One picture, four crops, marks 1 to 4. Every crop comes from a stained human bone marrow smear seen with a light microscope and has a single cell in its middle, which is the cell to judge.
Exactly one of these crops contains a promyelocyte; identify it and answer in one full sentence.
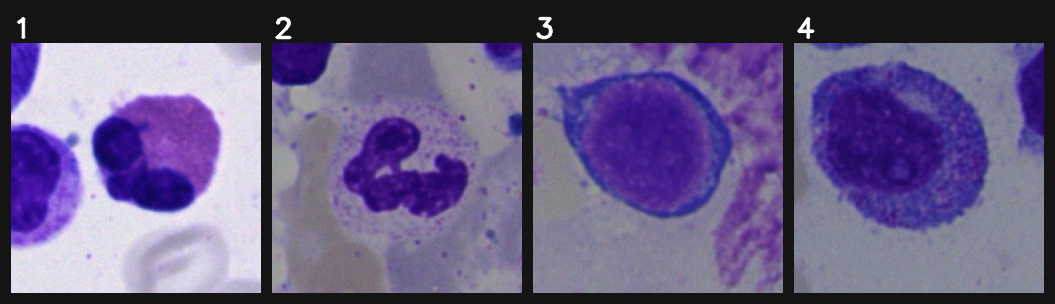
Among all the crops given here, the one with a promyelocyte is crop 4.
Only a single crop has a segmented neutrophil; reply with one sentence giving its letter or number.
Crop 2 matches the request, showing a segmented neutrophil.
